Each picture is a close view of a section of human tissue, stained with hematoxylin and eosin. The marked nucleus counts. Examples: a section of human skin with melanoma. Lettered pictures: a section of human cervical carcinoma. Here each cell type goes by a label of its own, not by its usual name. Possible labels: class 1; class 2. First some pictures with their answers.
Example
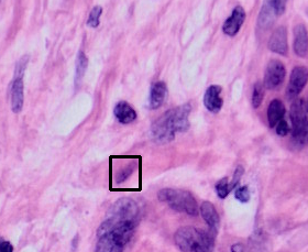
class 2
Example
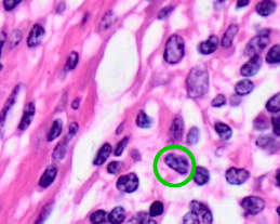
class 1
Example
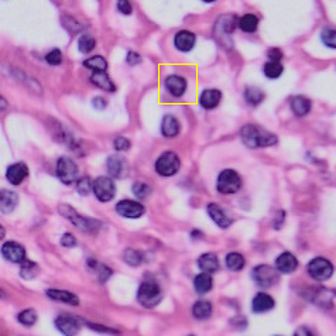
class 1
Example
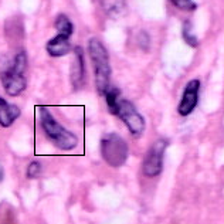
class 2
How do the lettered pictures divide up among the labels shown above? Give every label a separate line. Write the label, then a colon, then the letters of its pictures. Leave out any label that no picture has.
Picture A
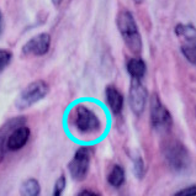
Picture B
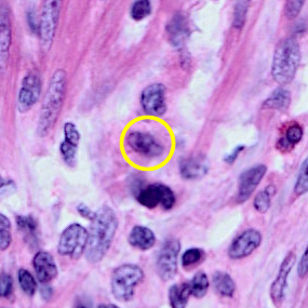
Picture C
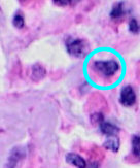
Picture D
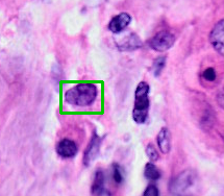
class 1: A, C
class 2: B, D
